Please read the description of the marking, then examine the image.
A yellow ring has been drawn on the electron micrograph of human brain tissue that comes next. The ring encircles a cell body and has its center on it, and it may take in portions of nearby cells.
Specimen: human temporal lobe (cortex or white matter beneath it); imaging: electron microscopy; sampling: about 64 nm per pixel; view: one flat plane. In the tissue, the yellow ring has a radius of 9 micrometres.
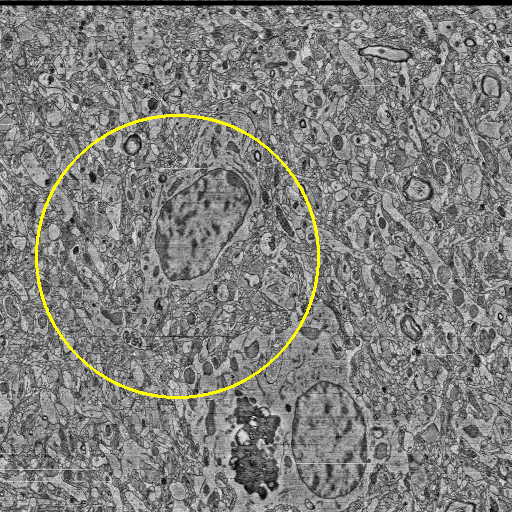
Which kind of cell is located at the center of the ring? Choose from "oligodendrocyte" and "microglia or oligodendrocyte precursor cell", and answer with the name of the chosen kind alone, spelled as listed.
microglia or oligodendrocyte precursor cell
